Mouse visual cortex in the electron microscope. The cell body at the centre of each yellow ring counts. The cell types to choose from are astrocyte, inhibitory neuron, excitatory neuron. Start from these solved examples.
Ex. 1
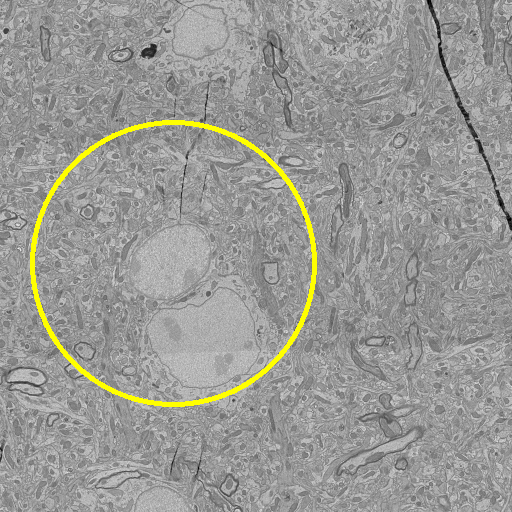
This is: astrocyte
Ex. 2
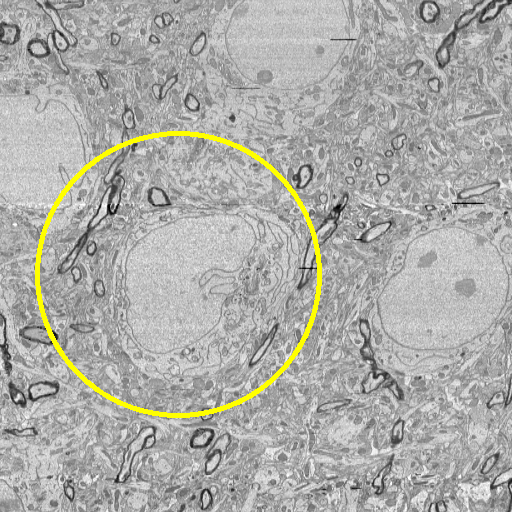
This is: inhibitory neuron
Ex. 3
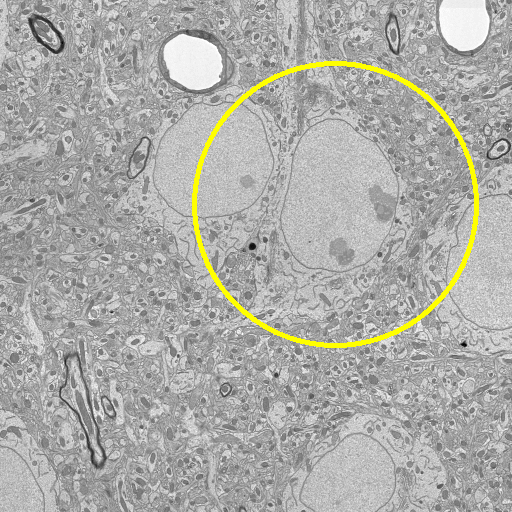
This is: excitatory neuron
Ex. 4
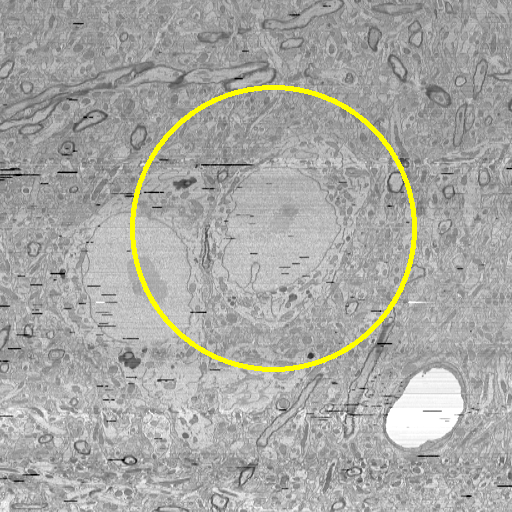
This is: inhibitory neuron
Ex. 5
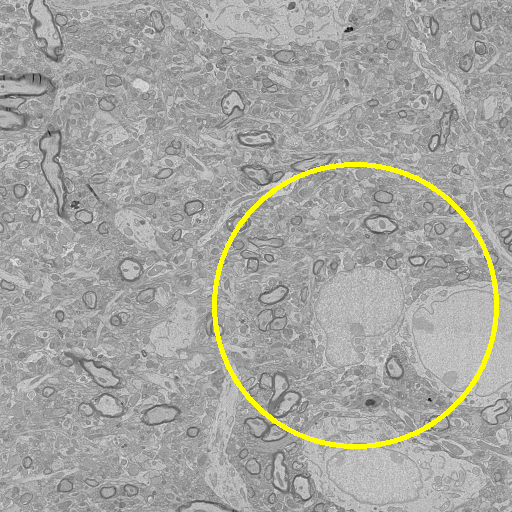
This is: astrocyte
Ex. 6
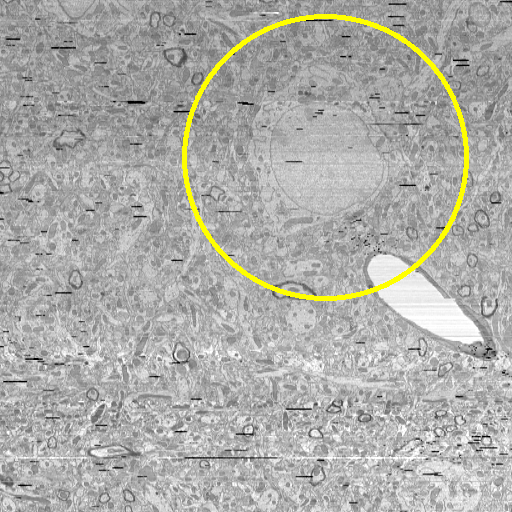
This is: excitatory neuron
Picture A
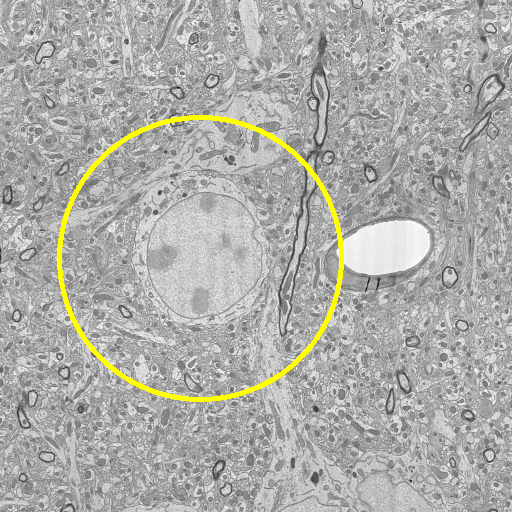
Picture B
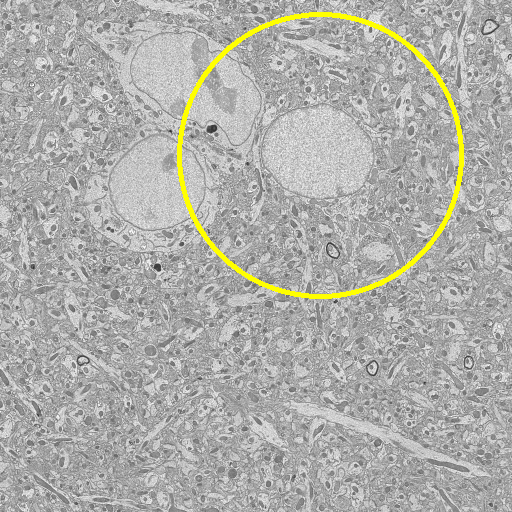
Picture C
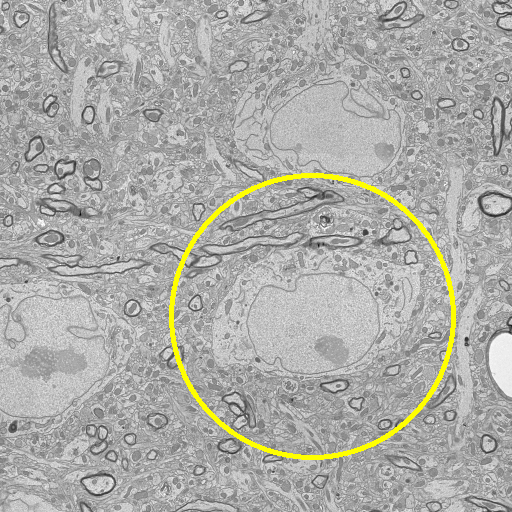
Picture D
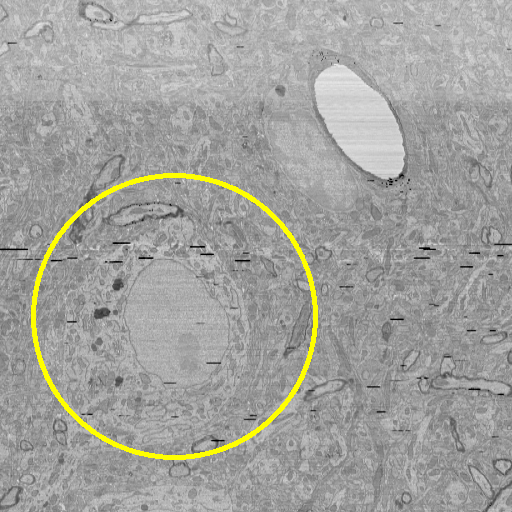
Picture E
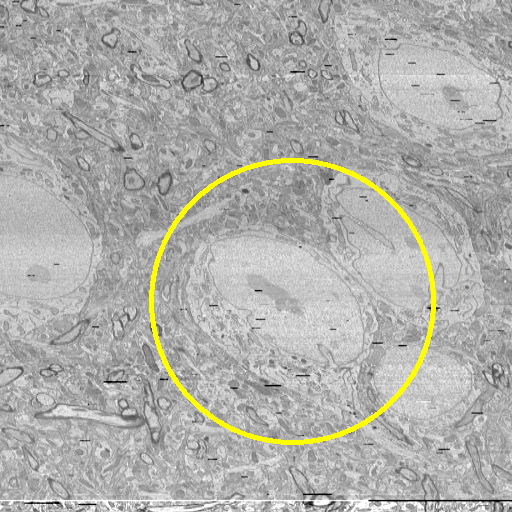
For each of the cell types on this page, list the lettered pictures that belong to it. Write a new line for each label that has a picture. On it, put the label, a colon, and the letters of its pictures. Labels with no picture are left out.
astrocyte: B
inhibitory neuron: D, E
excitatory neuron: A, C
